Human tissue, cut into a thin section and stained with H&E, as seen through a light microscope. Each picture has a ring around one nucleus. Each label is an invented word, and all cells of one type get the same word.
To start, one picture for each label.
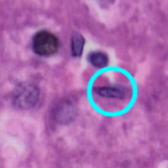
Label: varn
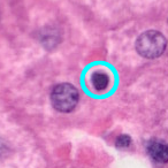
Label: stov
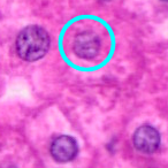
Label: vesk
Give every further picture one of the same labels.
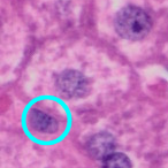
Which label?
varn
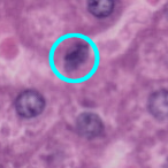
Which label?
varn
